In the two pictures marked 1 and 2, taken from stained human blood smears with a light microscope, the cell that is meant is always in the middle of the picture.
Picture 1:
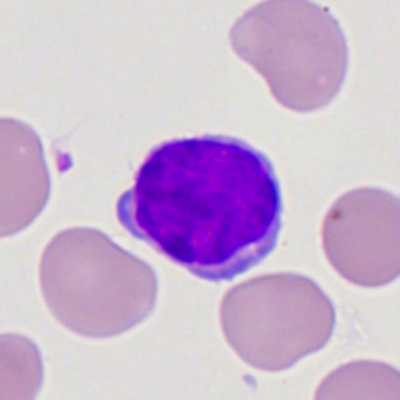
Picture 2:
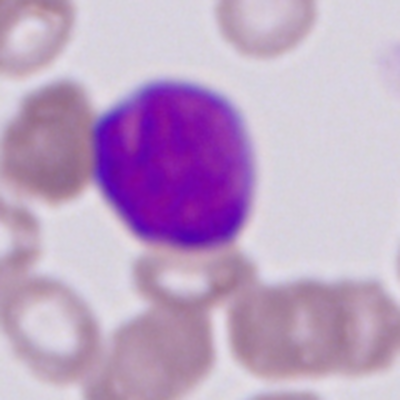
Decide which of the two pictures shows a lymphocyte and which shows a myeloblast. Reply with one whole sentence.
Picture 1 is of a lymphocyte, and picture 2 is of a myeloblast.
